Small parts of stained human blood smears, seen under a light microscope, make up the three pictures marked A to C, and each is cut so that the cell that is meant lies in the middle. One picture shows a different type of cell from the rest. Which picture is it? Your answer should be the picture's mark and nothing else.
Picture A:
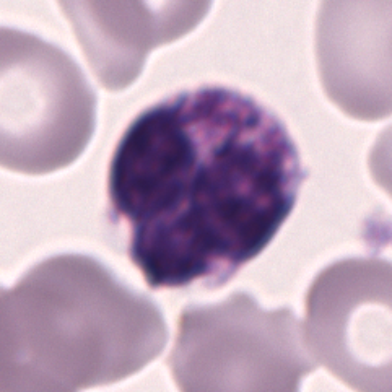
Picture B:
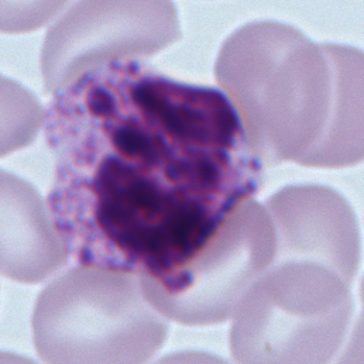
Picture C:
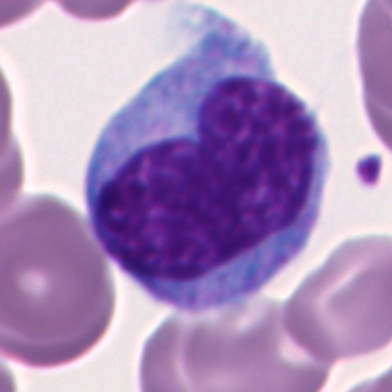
C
